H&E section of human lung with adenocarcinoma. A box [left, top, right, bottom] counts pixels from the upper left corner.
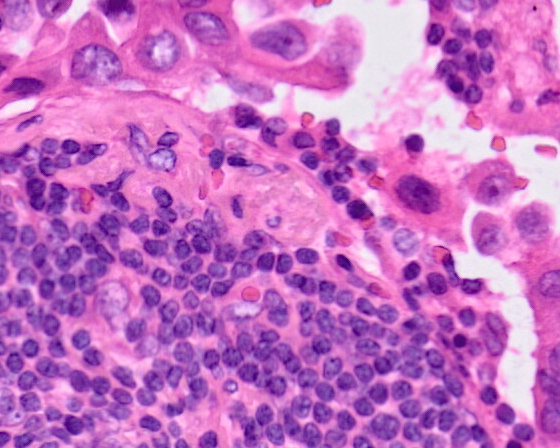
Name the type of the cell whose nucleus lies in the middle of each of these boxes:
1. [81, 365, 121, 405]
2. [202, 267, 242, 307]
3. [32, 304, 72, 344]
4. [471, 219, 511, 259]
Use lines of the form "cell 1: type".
cell 1: lymphocyte
cell 2: lymphocyte
cell 3: lymphocyte
cell 4: carcinoma cell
